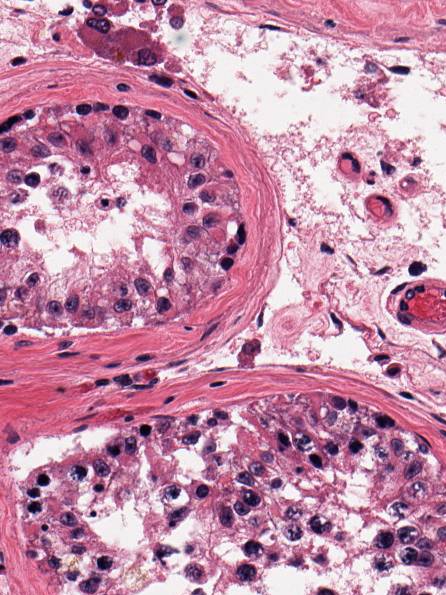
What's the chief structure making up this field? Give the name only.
seminiferous tubule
